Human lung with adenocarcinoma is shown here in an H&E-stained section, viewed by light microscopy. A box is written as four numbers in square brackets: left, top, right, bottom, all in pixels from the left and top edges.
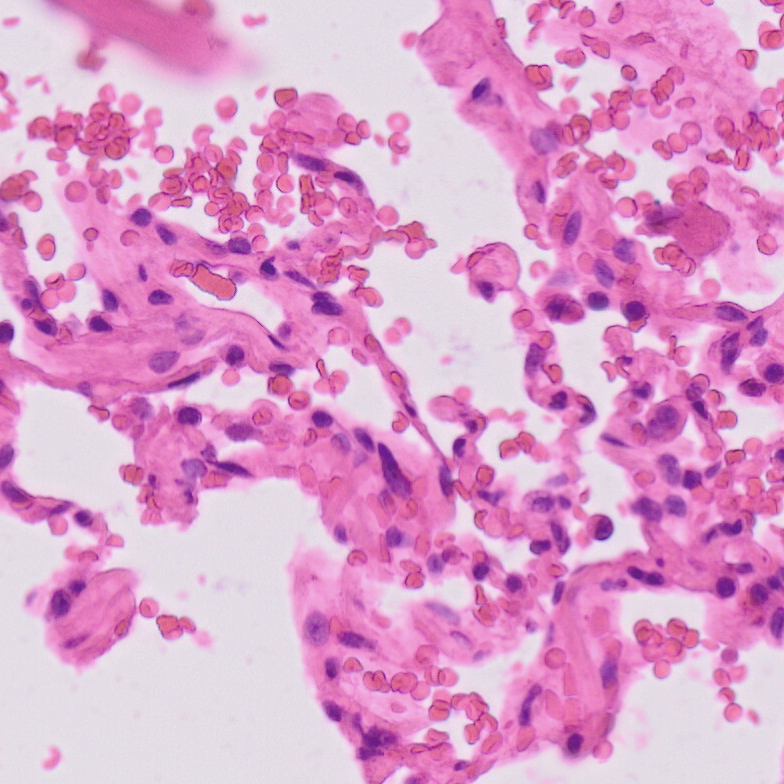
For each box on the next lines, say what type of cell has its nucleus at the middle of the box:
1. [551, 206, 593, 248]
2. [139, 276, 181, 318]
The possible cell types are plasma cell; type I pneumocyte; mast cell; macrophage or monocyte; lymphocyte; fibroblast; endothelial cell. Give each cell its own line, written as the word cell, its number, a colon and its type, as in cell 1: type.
cell 1: type I pneumocyte
cell 2: mast cell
